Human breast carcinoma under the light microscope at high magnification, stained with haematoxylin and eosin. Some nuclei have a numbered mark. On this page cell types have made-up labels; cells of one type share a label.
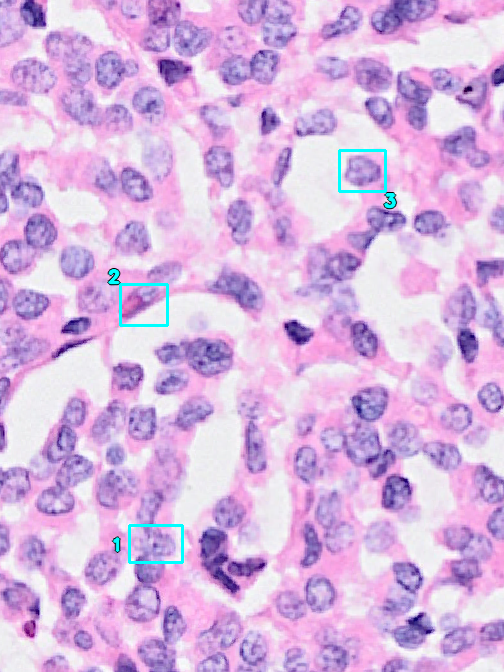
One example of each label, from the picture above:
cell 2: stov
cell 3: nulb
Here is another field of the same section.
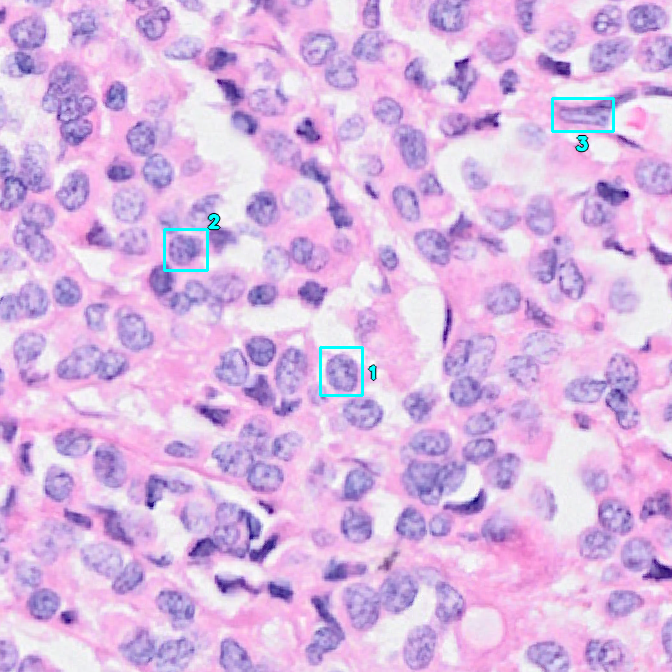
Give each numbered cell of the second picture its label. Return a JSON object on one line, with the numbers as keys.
{"1": "nulb", "2": "nulb", "3": "stov"}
